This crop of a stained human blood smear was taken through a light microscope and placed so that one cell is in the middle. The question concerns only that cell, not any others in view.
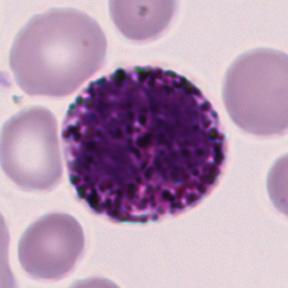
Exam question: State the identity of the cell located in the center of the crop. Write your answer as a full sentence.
This crop has a basophil at its centre.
